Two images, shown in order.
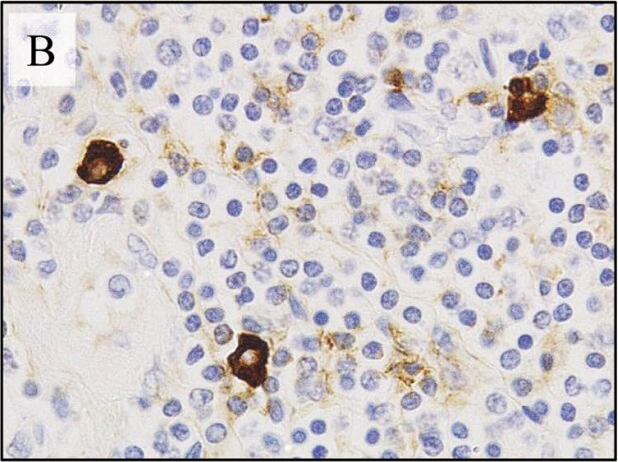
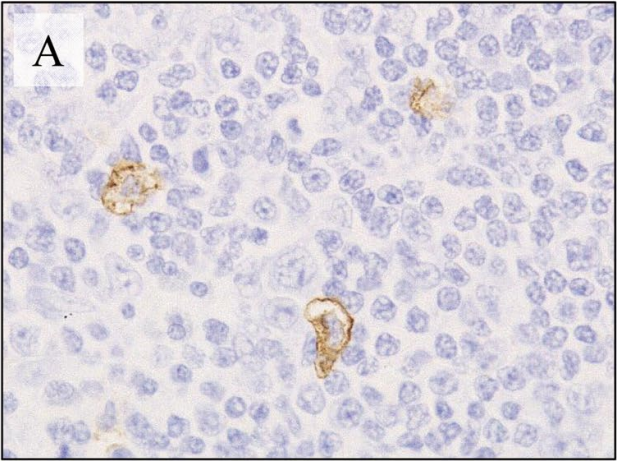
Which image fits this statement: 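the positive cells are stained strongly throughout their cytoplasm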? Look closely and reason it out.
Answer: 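First image: the positive cells are filled with dense dark brown stain. Second image: the positive cells show only a thin, pale brown rim at their borders with pale interiors.
Answer: the first image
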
